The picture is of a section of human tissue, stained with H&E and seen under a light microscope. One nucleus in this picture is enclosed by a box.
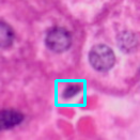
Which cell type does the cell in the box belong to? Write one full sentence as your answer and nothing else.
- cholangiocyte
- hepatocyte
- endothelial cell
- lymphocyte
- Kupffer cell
As to its cell type, the cell in the box is a lymphocyte.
